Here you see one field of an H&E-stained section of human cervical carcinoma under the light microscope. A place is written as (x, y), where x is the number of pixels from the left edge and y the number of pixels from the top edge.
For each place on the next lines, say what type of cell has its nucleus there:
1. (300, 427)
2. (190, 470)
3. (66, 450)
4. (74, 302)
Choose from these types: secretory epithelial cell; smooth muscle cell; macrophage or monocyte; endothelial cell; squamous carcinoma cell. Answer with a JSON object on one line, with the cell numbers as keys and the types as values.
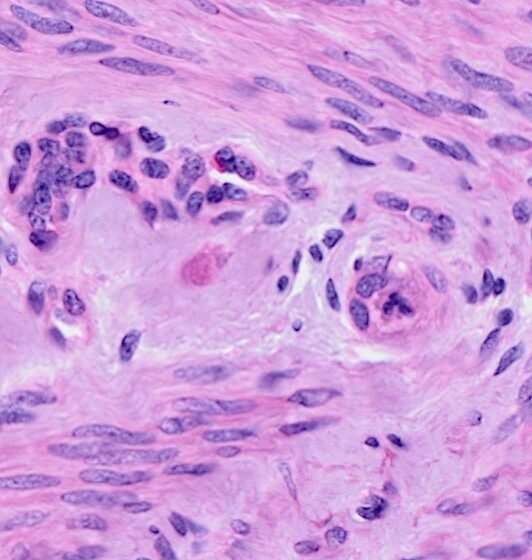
{"1": "smooth muscle cell", "2": "smooth muscle cell", "3": "smooth muscle cell", "4": "endothelial cell"}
